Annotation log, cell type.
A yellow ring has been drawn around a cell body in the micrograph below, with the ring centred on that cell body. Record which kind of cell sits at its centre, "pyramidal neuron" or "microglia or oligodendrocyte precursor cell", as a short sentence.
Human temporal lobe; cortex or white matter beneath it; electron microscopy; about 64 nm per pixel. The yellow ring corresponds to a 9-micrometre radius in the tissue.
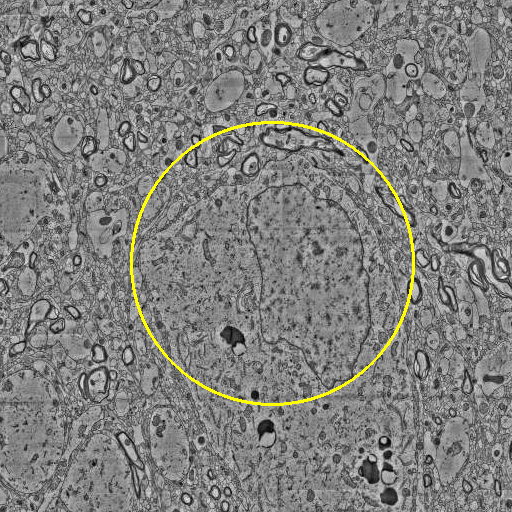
The cell at the centre of this ring is a pyramidal neuron.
